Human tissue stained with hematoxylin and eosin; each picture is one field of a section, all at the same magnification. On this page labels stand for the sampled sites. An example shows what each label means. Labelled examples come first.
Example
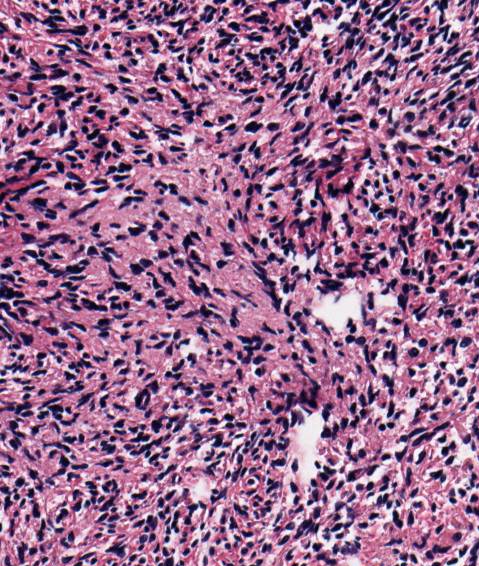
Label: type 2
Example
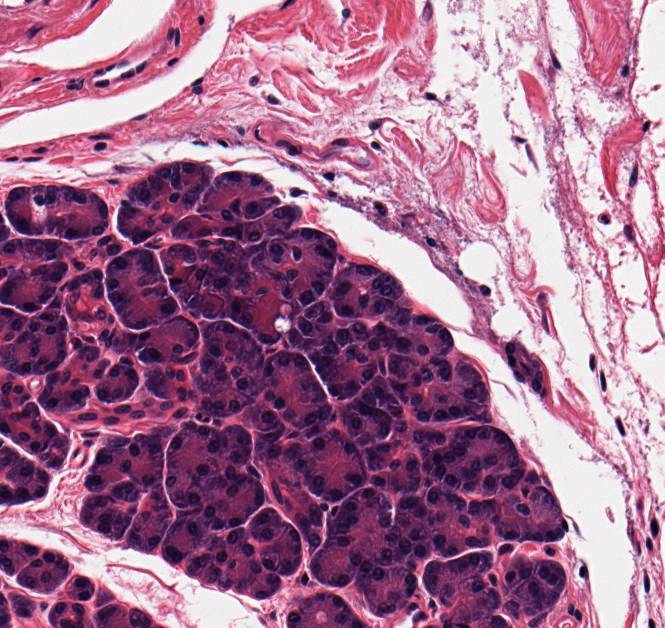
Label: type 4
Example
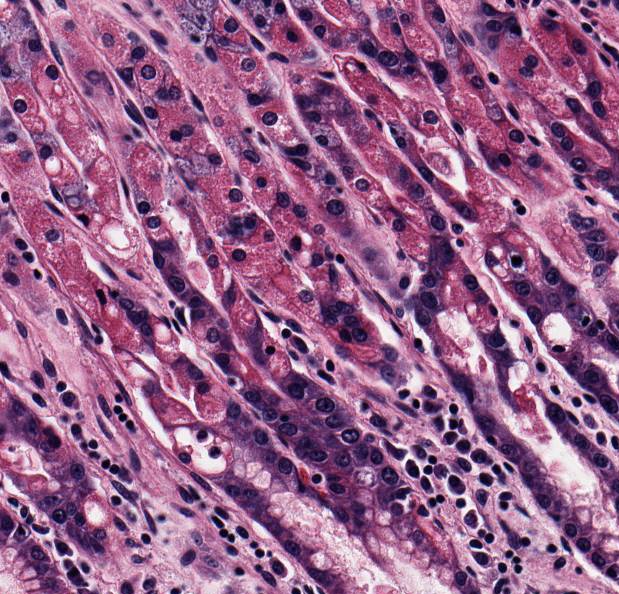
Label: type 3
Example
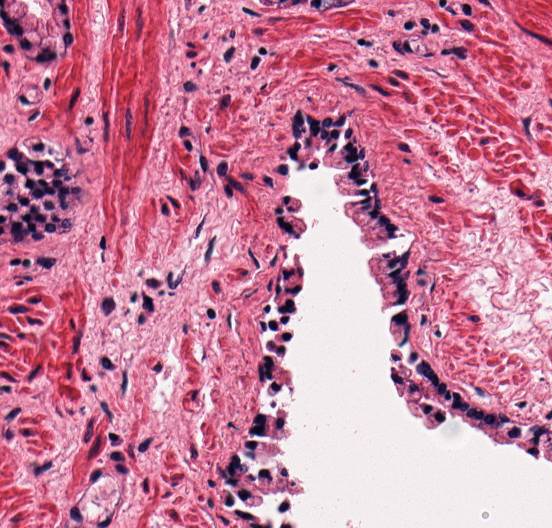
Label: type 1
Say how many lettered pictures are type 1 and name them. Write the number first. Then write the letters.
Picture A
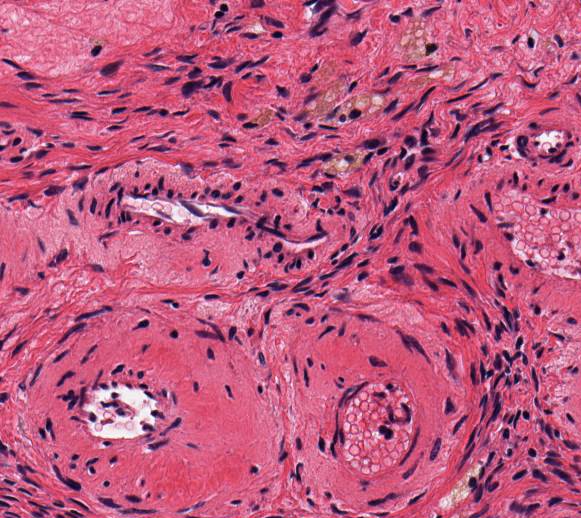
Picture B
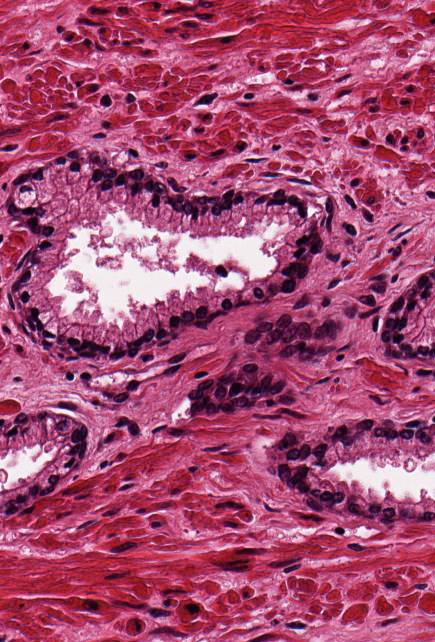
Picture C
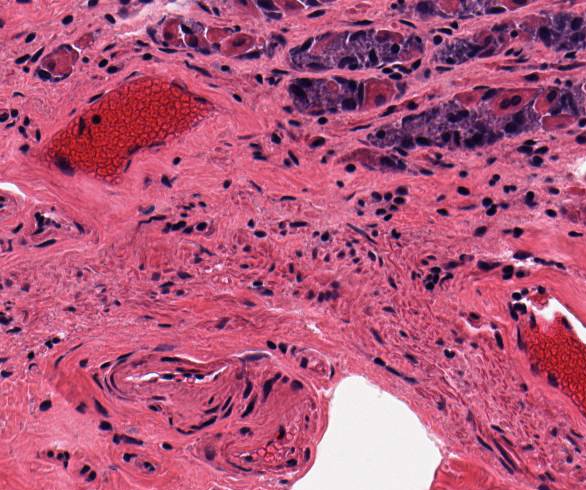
1: B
